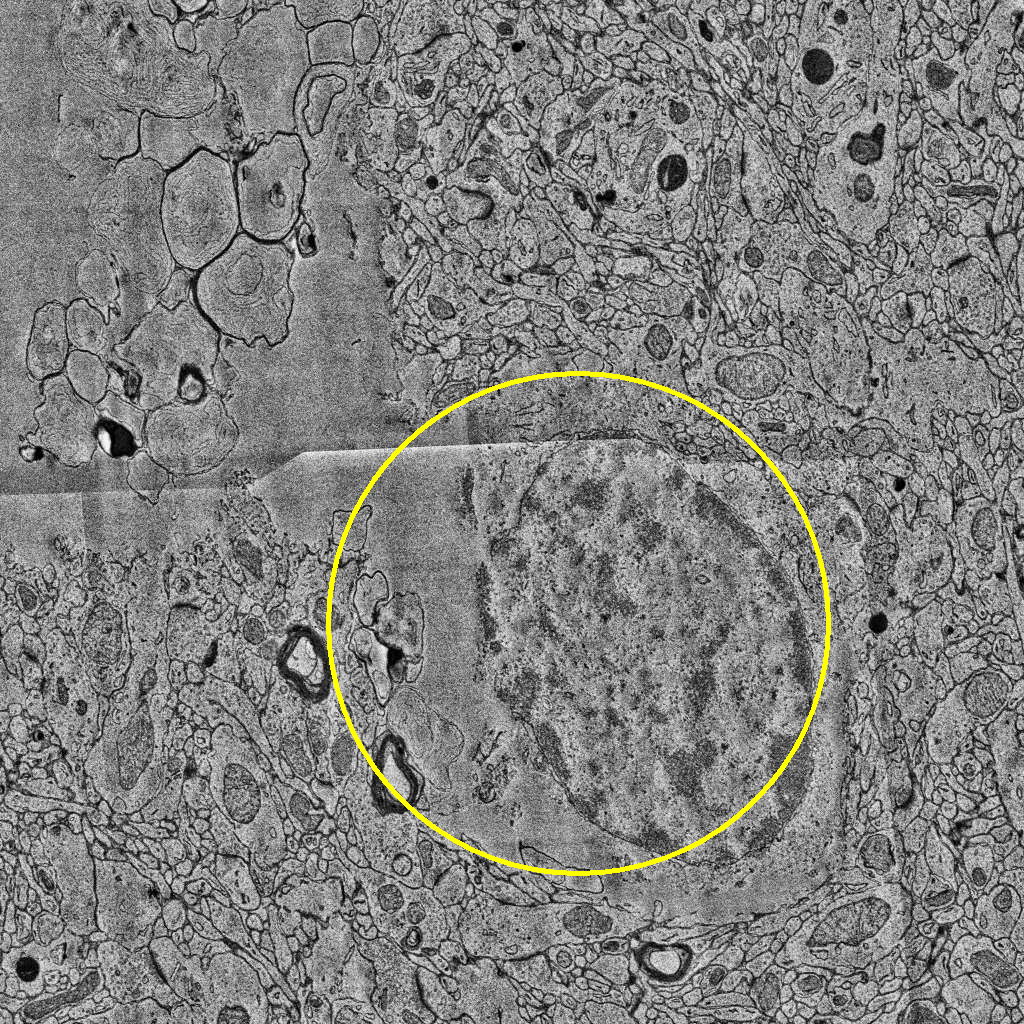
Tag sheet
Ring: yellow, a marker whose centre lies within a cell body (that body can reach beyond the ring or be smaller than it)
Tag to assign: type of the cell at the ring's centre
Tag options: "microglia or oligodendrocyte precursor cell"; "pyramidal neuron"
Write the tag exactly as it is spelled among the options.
microglia or oligodendrocyte precursor cell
